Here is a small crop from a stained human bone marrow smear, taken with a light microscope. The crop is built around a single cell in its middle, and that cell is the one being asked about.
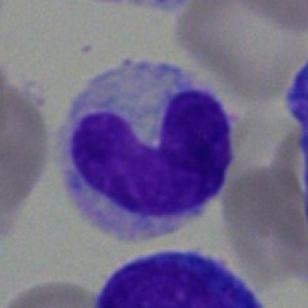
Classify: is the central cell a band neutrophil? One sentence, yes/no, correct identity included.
Yes, the cell at the centre of this crop is identified as a band neutrophil.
